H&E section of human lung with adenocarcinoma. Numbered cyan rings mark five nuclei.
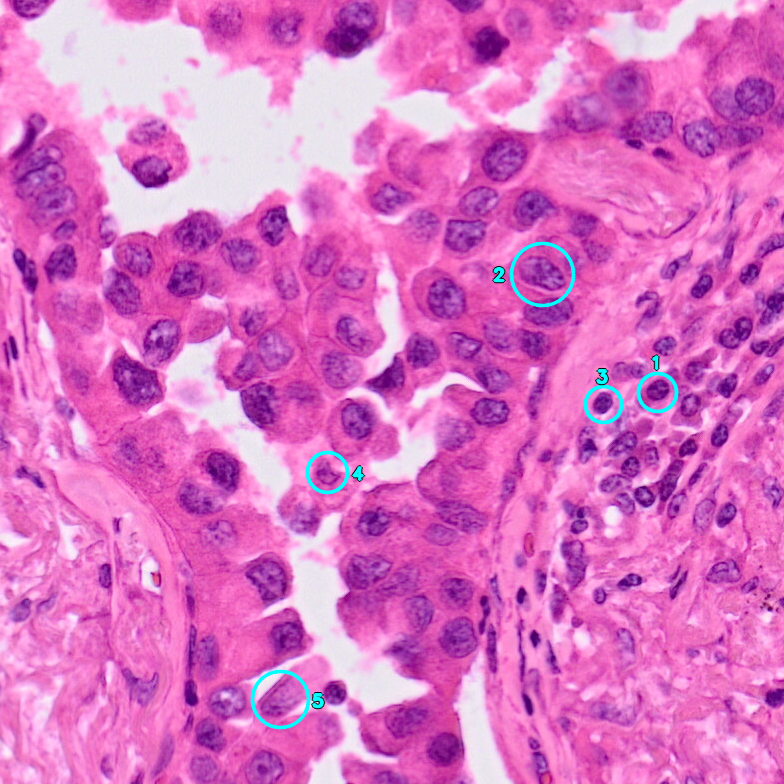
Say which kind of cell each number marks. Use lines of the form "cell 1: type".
cell 1: plasma cell
cell 2: carcinoma cell
cell 3: lymphocyte
cell 4: macrophage or monocyte
cell 5: carcinoma cell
